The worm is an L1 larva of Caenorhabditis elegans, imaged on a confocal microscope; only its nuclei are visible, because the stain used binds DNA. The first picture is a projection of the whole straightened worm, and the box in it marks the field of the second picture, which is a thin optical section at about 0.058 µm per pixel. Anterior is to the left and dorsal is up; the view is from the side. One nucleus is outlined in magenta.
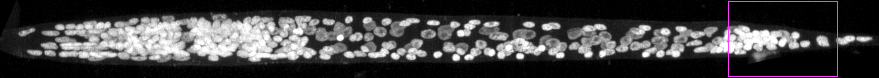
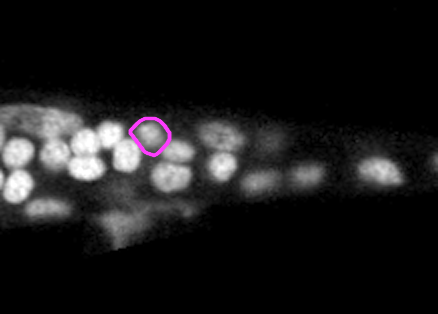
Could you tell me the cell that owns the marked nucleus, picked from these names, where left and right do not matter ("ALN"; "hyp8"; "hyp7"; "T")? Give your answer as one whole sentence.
The marked nucleus belongs to ALN, a neuron.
